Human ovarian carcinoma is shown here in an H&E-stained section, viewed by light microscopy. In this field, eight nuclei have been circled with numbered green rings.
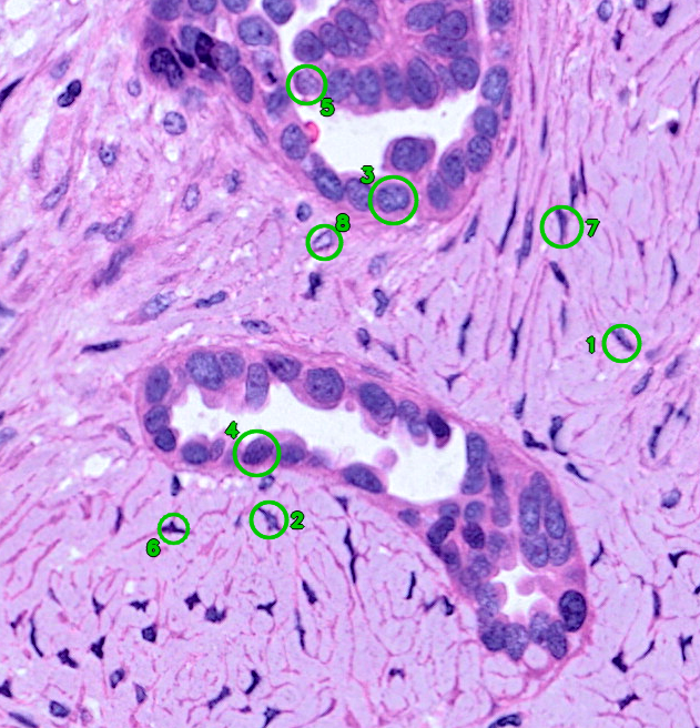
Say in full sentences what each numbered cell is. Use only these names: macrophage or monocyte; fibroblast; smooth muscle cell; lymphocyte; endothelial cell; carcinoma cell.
Cell 1 is a fibroblast, cell 2 is a fibroblast, cell 3 is a carcinoma cell, cell 4 is a carcinoma cell, cell 5 is a carcinoma cell, cell 6 is a fibroblast, cell 7 is a fibroblast and cell 8 is a fibroblast.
